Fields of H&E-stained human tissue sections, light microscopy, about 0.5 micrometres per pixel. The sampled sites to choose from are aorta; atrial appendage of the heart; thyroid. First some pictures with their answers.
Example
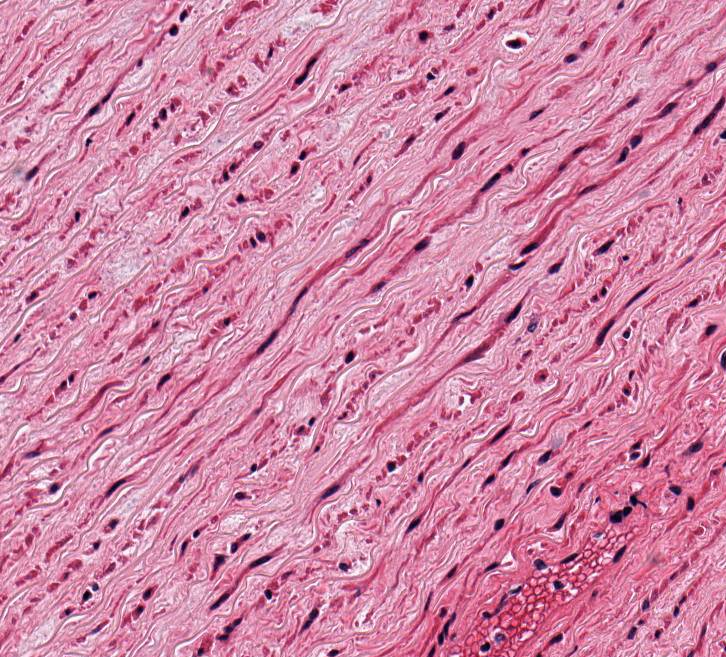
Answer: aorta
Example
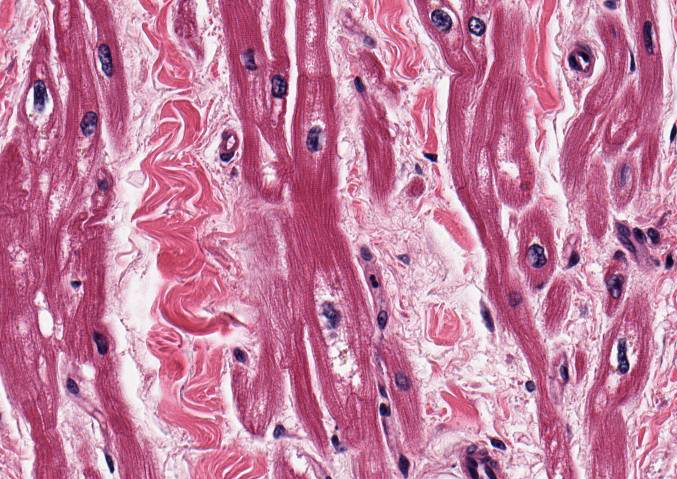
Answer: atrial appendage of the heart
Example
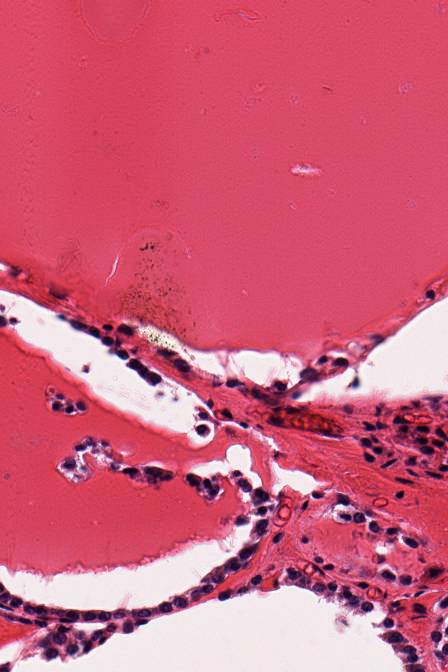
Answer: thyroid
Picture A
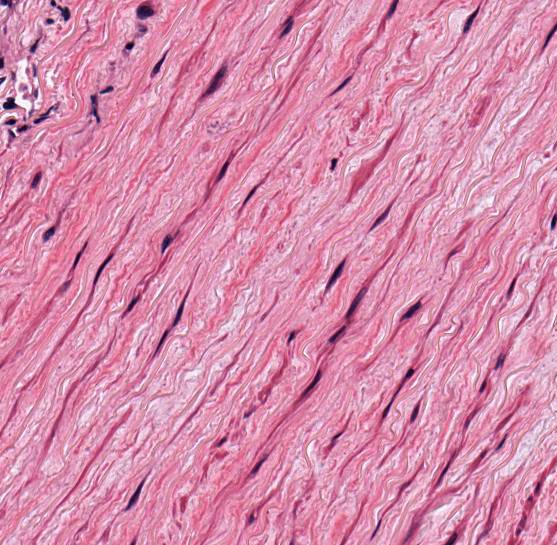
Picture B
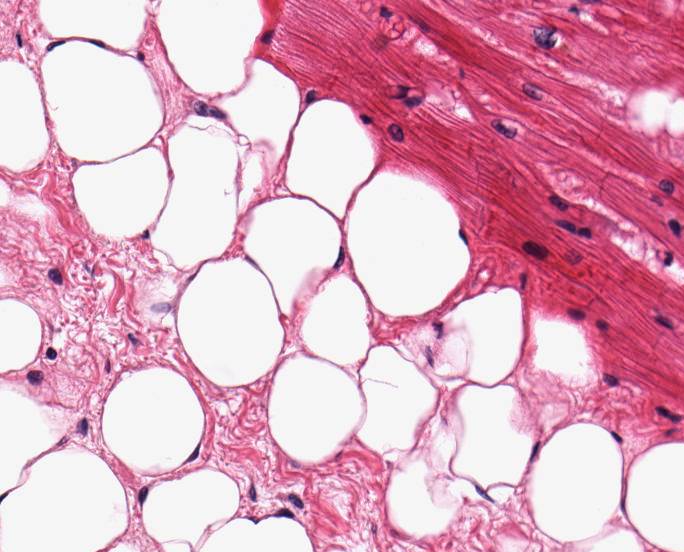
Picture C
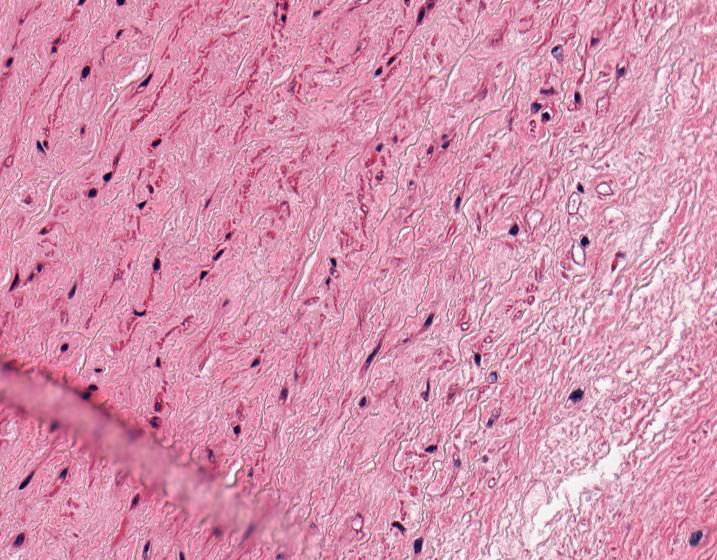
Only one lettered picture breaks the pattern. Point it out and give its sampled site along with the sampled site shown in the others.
Exception: B, showing atrial appendage of the heart. Remaining pictures: aorta.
